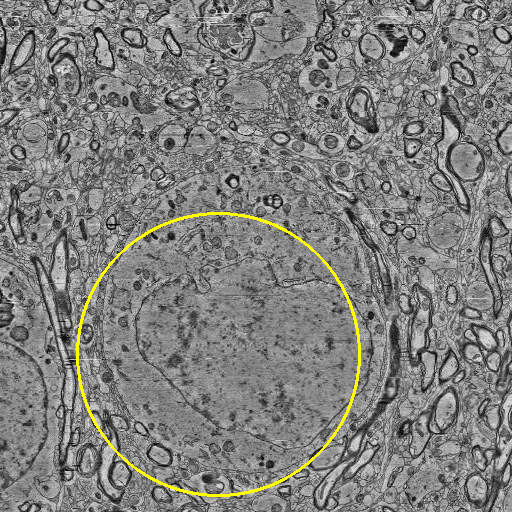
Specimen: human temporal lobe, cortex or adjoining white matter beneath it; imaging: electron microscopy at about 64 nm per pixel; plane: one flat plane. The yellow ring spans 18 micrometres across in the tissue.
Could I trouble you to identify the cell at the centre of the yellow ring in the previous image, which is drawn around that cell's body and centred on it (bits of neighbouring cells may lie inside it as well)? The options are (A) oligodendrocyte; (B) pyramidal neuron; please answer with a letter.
B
